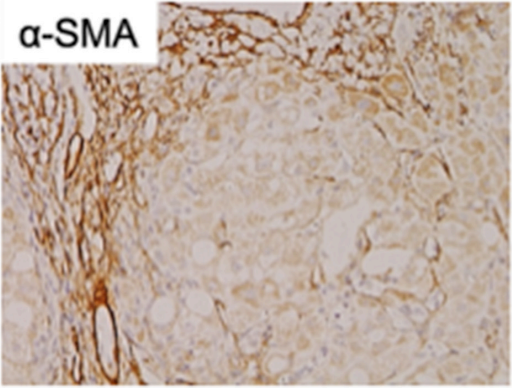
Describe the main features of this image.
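Here a fibrotic septum wraps around a nodule of liver cells. Along the left side and across the top, a band of spindle-shaped cells is stained a strong dark brown, forming a dense meshwork of strands. In the lower left a small vessel stands out with a brown-ringed wall. The hepatocytes in the middle are large polygonal cells with only faint beige cytoplasm, and thin brown lines thread between them. Round clear spaces are scattered through the nodule.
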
